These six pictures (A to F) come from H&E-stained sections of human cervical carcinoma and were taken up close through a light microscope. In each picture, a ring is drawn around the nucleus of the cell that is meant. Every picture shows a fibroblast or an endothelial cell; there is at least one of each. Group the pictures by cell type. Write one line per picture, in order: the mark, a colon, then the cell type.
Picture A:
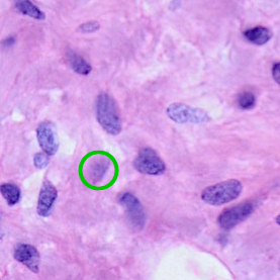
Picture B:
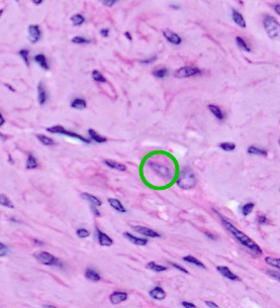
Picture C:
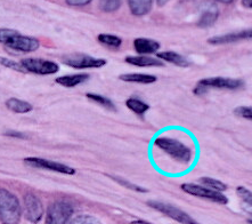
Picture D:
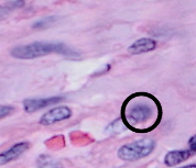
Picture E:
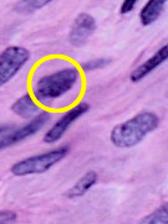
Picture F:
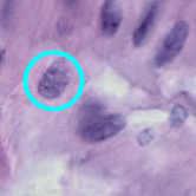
A: fibroblast
B: endothelial cell
C: fibroblast
D: endothelial cell
E: fibroblast
F: fibroblast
